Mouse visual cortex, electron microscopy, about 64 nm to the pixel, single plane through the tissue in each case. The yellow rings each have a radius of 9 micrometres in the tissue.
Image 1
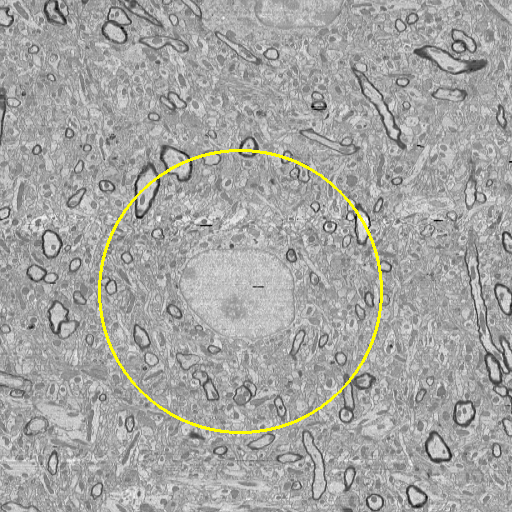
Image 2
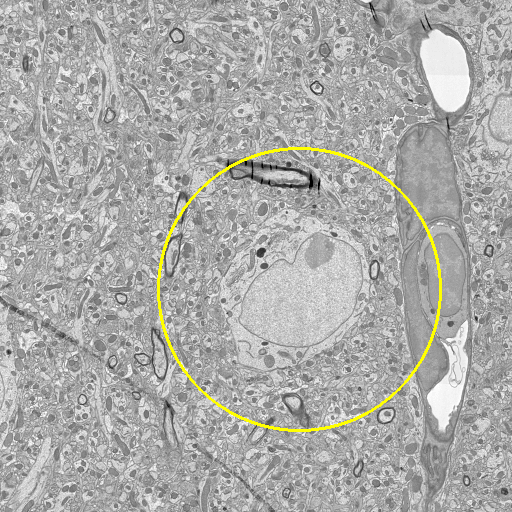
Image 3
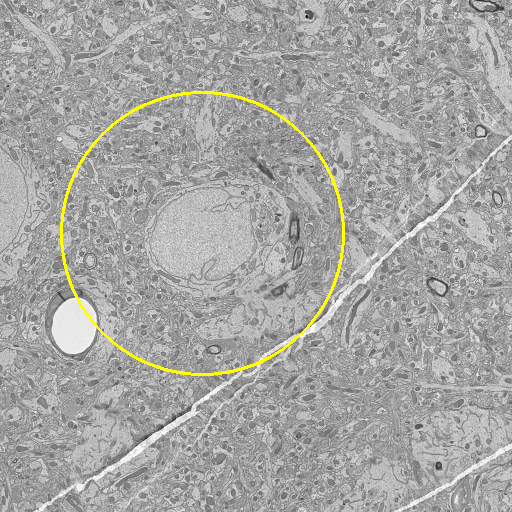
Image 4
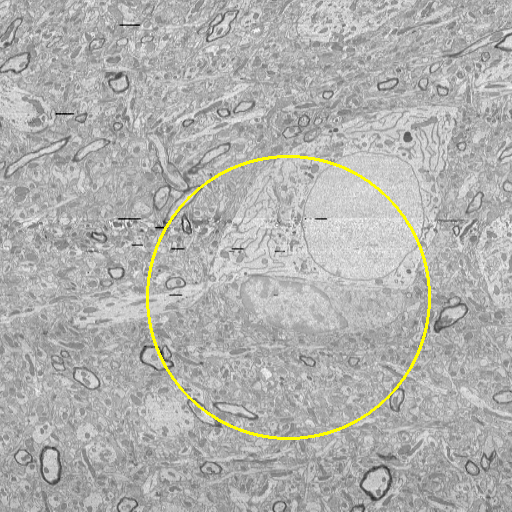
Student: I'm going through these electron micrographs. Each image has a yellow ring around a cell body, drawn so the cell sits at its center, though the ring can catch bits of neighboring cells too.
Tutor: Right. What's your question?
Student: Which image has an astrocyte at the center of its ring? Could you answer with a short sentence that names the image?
Image 1 shows it at the center of its ring.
